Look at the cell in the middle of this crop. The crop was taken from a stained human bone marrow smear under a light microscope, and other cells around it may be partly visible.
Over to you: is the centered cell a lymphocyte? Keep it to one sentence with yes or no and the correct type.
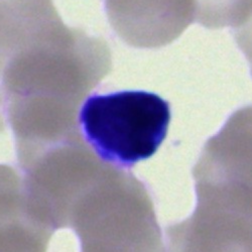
Yes, the central cell here is a lymphocyte.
